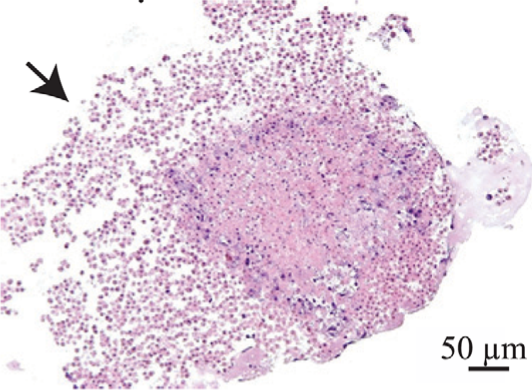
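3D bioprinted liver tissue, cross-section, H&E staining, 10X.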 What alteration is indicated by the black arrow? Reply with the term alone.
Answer: Loss of cellular adhesion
